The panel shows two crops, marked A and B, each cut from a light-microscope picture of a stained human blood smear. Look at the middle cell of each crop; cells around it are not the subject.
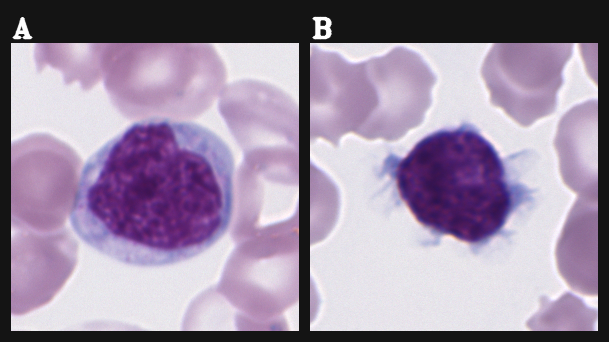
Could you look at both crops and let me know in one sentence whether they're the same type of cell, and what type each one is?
No, crop A is home to a monocyte, and crop B to a hairy cell.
